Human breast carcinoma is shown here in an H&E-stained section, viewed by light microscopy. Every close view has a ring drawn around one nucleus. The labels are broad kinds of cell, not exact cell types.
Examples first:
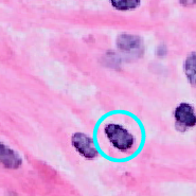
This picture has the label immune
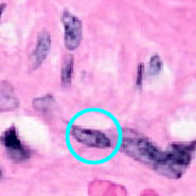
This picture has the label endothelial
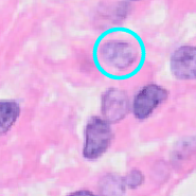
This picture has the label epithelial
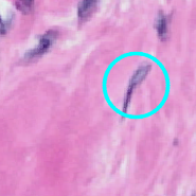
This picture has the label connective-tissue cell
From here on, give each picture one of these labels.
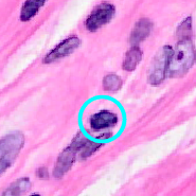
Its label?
immune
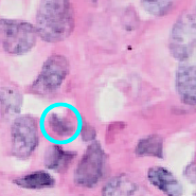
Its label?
epithelial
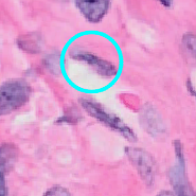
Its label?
endothelial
